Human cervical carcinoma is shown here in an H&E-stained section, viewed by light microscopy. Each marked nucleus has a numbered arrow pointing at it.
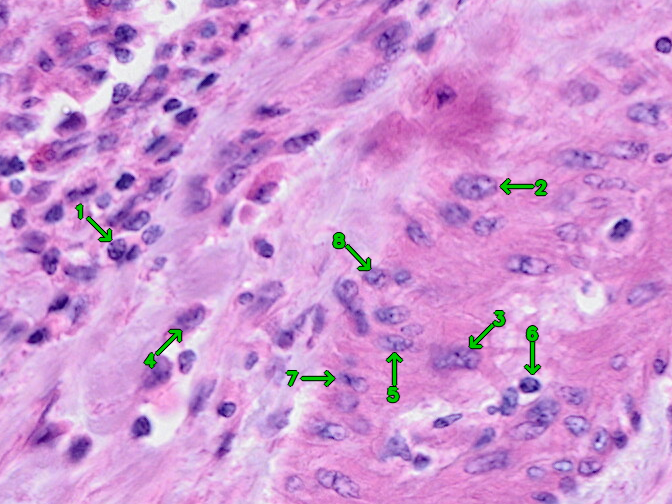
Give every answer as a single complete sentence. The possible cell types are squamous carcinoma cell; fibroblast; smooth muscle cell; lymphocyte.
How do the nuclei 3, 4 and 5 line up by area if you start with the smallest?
From smallest to largest, the order is 5, 4, 3.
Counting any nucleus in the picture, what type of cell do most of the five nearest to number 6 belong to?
Smooth muscle cells make up most of the five nuclei closest to number 6.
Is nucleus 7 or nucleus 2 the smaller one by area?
It is nucleus 7; nucleus 2 has about 3 times its area.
